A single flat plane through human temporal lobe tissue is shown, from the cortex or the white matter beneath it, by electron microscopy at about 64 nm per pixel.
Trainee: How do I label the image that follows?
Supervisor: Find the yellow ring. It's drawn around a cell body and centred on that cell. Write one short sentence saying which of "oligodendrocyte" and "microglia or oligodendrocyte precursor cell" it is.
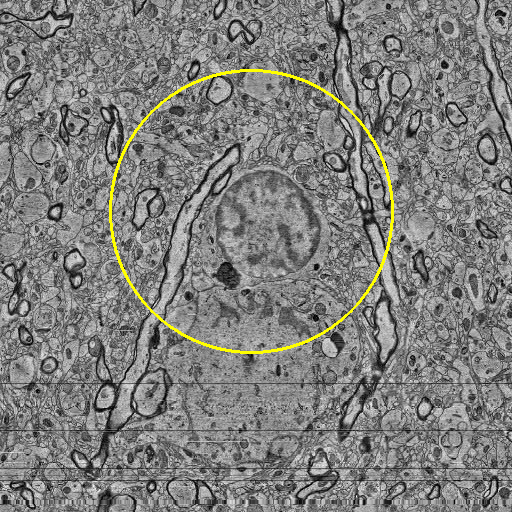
This is the cell body of an oligodendrocyte.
